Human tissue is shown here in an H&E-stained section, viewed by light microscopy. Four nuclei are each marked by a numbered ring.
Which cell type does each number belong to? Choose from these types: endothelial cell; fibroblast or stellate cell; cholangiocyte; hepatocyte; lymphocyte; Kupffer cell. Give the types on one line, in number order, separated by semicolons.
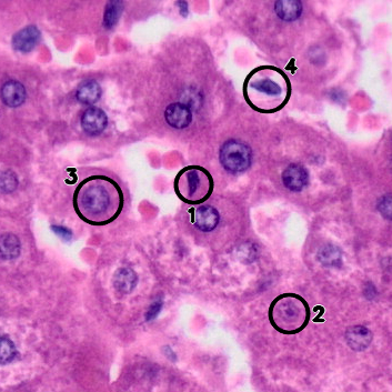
fibroblast or stellate cell; hepatocyte; hepatocyte; endothelial cell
